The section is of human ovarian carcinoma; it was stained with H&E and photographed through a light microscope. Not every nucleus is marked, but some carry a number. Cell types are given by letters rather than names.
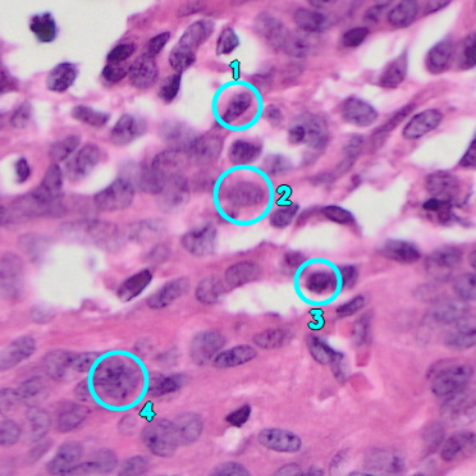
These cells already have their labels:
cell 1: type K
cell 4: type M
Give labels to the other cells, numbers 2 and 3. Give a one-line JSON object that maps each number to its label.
{"2": "type M", "3": "type M"}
